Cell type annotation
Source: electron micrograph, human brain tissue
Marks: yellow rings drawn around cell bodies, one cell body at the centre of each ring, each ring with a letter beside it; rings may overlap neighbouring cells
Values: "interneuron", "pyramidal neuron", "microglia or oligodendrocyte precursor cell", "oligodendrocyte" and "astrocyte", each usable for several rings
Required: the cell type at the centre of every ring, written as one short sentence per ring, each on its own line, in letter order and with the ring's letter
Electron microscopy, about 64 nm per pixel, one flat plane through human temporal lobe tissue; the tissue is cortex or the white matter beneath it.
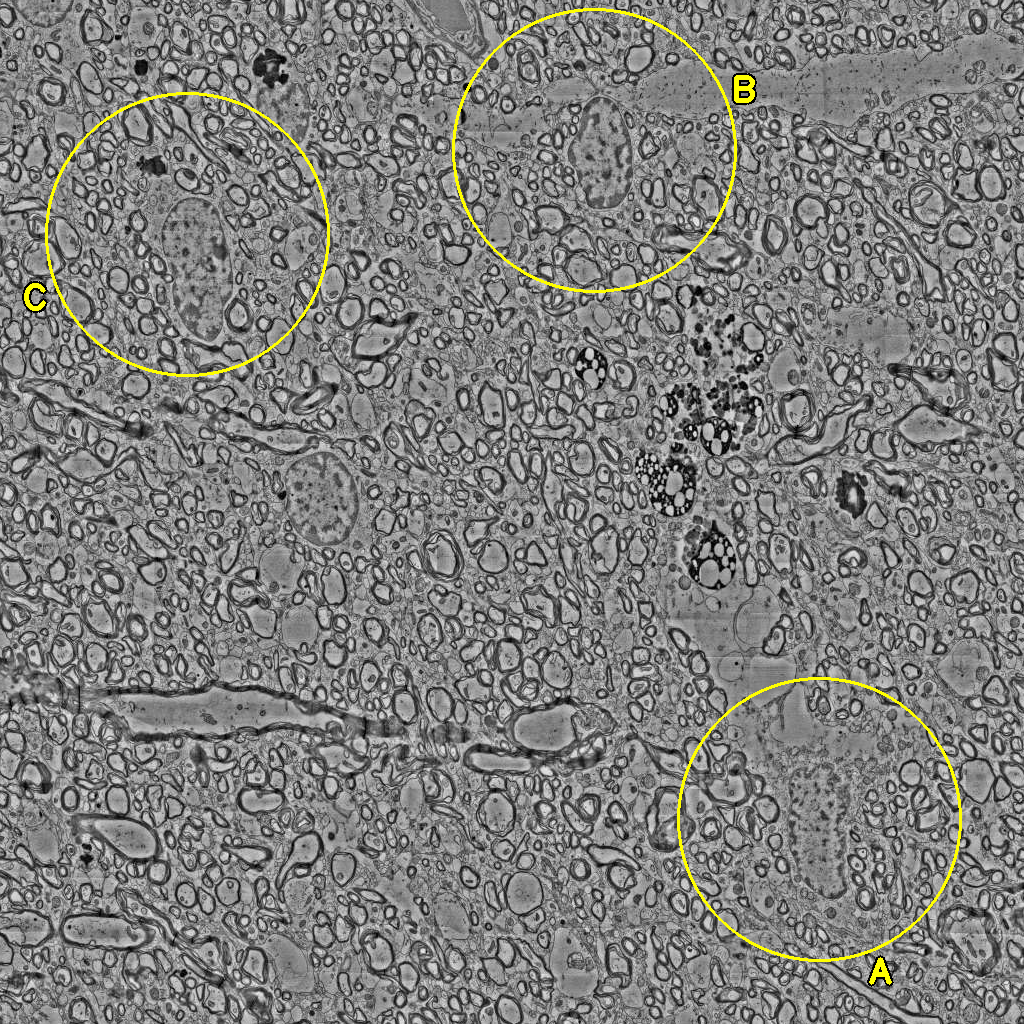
Ring A is annotated as an astrocyte.
Ring B is annotated as a microglial cell or oligodendrocyte precursor cell.
Ring C is annotated as a microglial cell or oligodendrocyte precursor cell.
